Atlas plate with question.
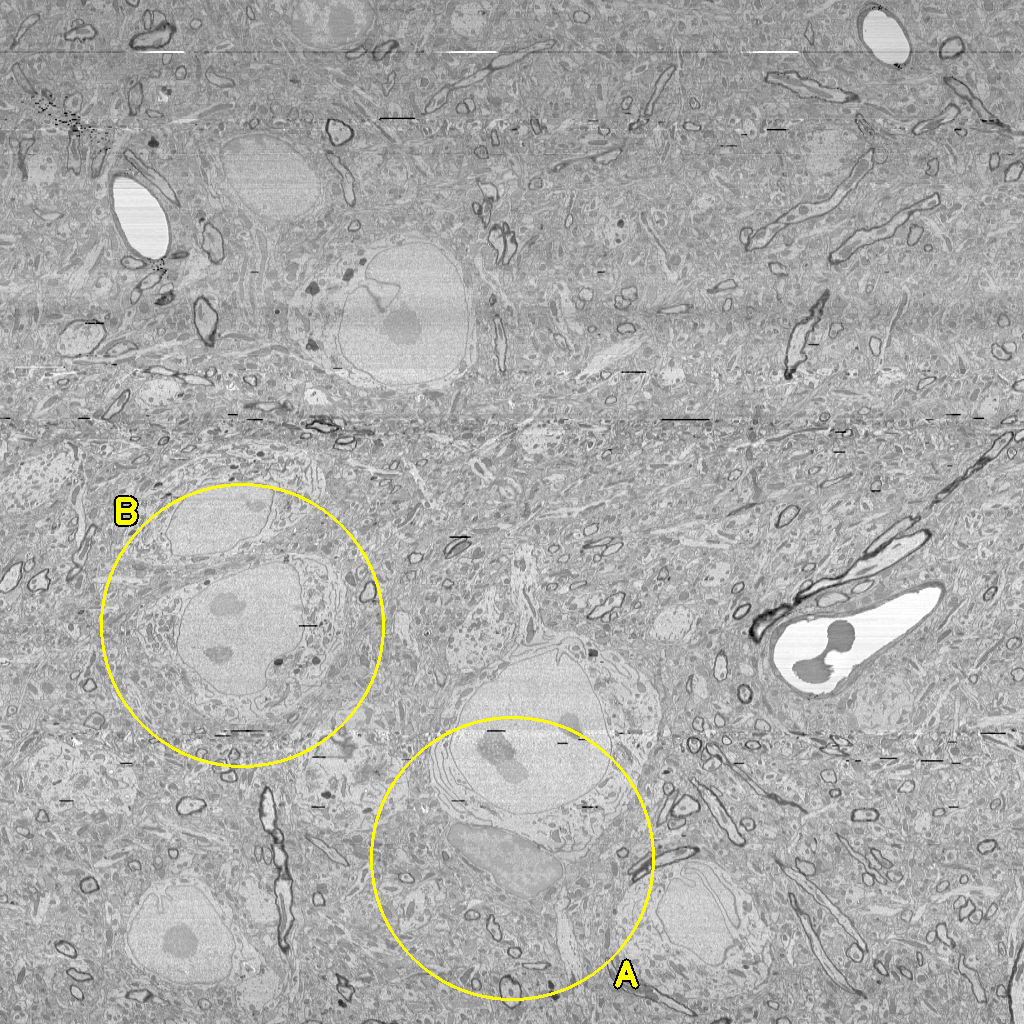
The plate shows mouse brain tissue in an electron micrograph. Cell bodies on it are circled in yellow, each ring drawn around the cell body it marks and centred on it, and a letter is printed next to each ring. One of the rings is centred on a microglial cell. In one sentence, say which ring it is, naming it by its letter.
It is ring A.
